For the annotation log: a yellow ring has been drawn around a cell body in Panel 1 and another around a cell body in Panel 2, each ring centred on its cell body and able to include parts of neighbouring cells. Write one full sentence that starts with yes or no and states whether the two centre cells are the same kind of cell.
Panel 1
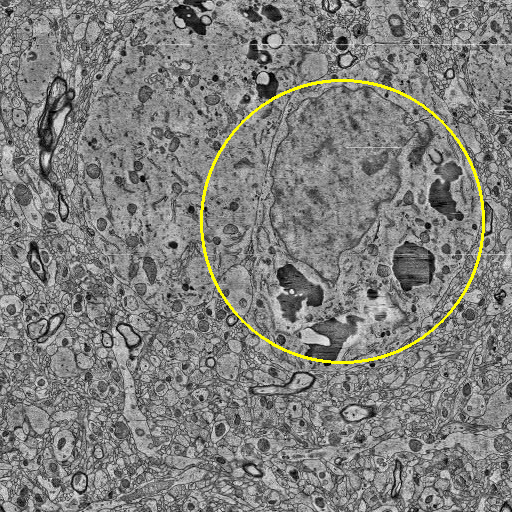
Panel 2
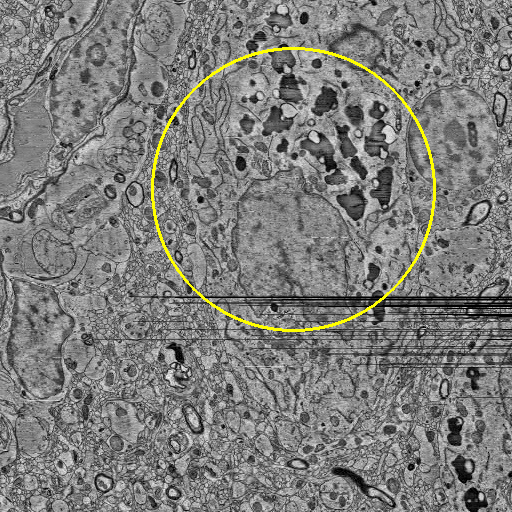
Yes, the two centre cells are the same kind of cell.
